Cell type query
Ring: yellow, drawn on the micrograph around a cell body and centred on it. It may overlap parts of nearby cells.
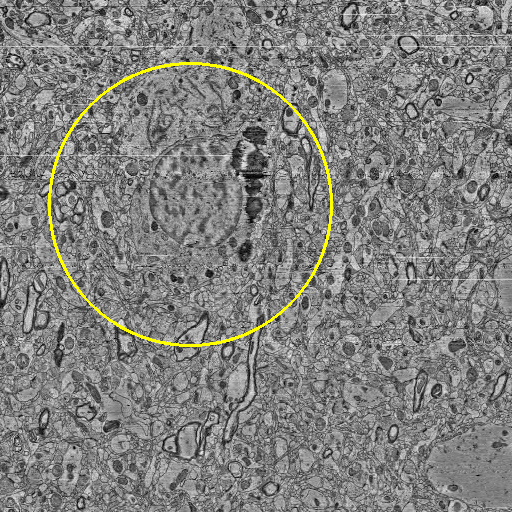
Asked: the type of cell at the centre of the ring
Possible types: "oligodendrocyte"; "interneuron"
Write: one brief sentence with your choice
The ring marks an oligodendrocyte.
